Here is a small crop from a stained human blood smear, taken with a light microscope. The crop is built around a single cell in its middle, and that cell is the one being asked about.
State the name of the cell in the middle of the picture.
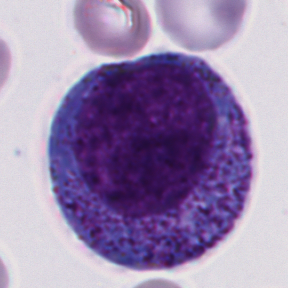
promyelocyte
